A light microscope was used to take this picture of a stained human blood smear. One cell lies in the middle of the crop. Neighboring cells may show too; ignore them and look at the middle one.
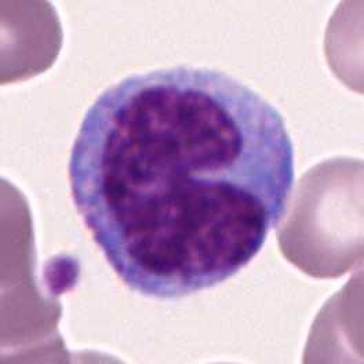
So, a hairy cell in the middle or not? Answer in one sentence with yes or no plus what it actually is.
No, the central cell is reported as a monocyte rather than as a hairy cell.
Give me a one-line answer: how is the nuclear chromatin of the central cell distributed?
The key point is fine chromatin with no coarse clumps.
